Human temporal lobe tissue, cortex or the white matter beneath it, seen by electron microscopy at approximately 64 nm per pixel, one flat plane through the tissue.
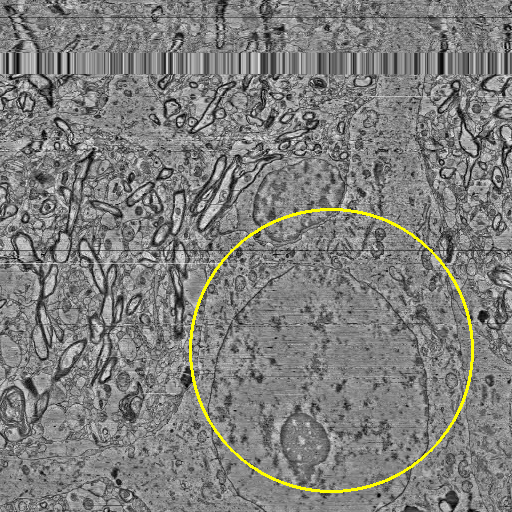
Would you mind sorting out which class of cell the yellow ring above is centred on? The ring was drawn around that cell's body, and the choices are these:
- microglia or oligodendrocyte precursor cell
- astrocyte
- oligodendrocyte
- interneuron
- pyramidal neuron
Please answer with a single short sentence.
This is the cell body of a pyramidal neuron.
